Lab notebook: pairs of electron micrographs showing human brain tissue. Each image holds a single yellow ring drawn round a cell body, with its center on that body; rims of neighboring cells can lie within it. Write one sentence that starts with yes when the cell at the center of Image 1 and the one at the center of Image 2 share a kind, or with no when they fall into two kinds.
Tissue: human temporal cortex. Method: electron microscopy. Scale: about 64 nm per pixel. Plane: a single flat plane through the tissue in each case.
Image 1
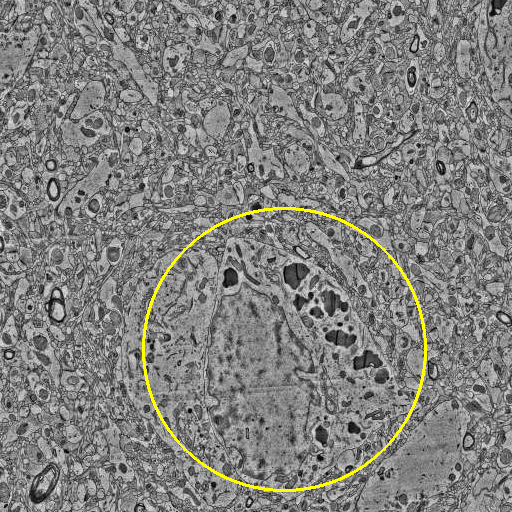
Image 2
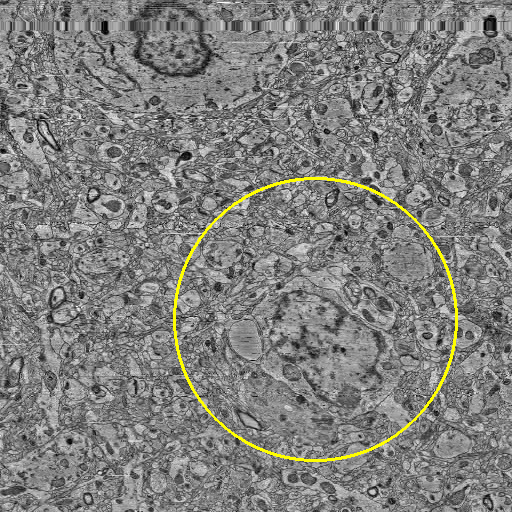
Yes, the centered cell in Image 1 and the centered cell in Image 2 are of one kind.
